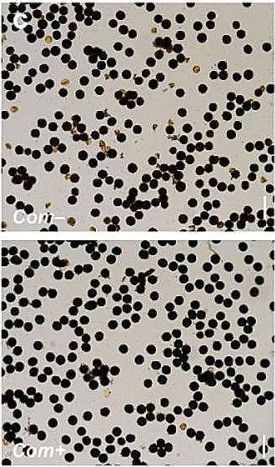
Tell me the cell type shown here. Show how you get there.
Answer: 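Most grains are stained solid black. A few smaller grains are pale yellow-brown and irregular.
Answer: pollen grains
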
